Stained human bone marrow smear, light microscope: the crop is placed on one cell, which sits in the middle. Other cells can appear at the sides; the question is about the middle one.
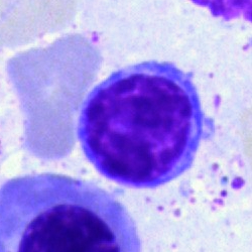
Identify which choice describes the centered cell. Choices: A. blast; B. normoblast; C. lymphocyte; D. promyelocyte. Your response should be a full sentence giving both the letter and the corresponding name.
Since the middle cell is a lymphocyte, option C is the right one.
